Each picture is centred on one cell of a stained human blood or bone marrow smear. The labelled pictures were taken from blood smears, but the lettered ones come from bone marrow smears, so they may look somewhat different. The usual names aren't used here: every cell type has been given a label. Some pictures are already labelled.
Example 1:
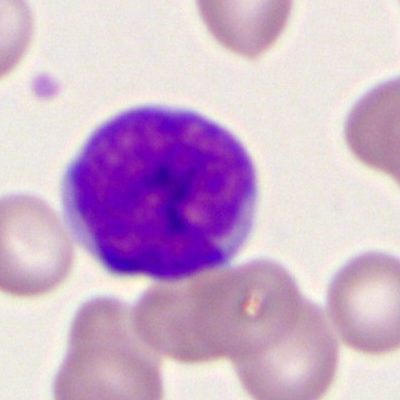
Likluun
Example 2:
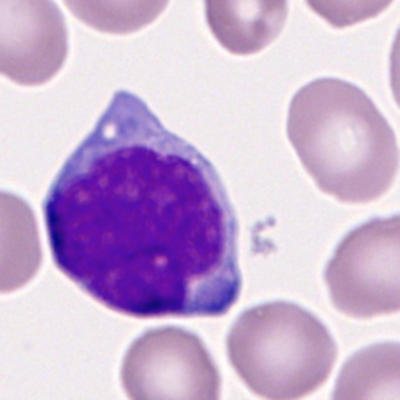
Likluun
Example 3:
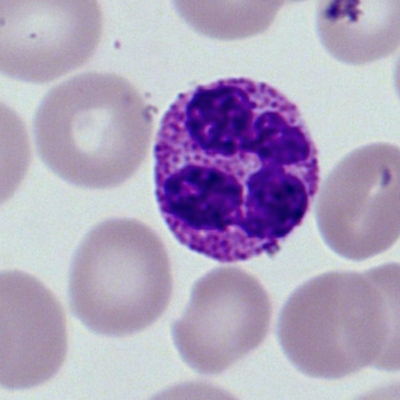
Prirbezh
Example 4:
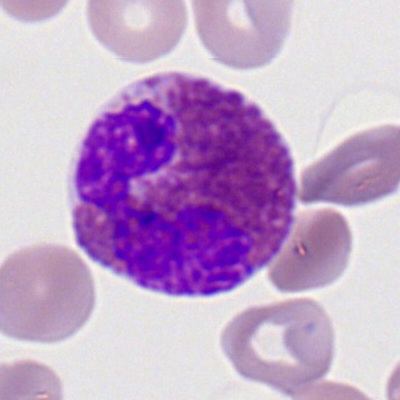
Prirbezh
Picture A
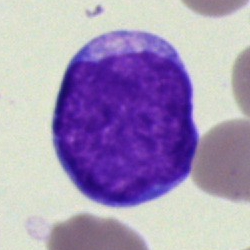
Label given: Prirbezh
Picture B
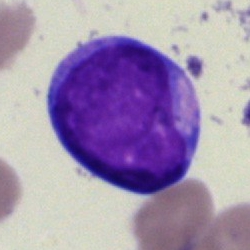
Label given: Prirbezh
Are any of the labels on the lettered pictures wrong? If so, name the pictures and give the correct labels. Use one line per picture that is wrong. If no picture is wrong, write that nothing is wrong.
Wrong: A (Prirbezh); correct: Likluun
Wrong: B (Prirbezh); correct: Likluun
